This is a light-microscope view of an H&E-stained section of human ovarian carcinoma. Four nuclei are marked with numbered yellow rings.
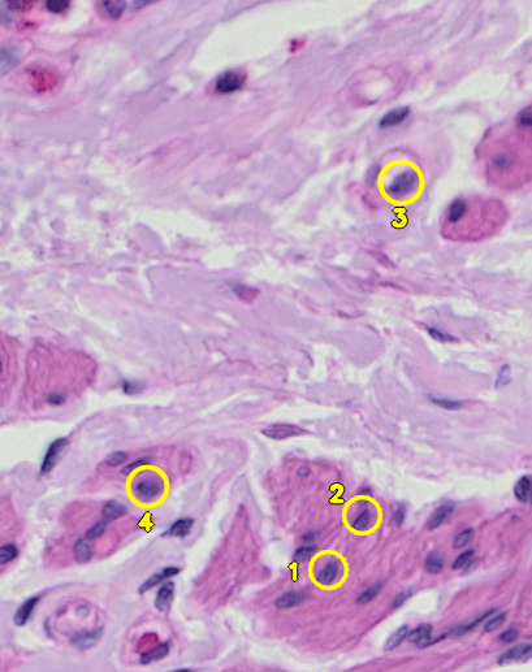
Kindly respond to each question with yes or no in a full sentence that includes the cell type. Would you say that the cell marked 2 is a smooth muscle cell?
Yes, a smooth muscle cell is what the cell numbered 2 is.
